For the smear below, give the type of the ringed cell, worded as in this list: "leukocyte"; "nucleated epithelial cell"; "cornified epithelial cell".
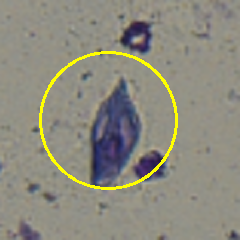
cornified epithelial cell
